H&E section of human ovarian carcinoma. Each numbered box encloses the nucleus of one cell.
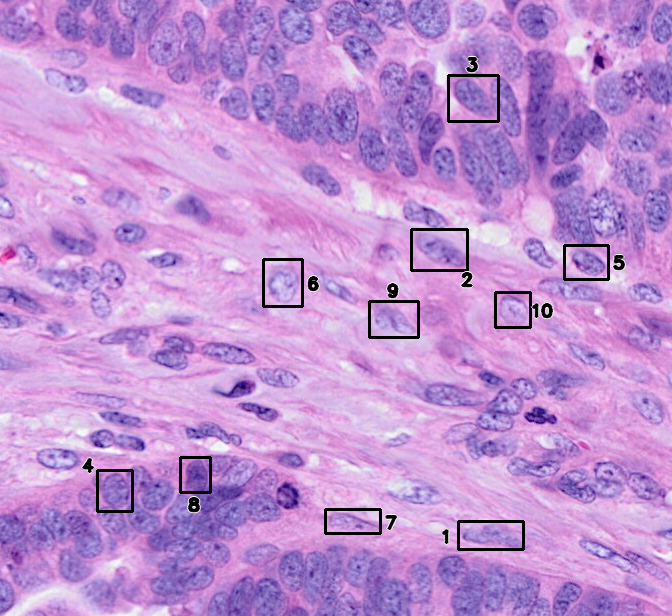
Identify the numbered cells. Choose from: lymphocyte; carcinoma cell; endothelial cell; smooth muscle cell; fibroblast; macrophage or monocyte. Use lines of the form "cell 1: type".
cell 1: fibroblast
cell 2: fibroblast
cell 3: carcinoma cell
cell 4: carcinoma cell
cell 5: macrophage or monocyte
cell 6: fibroblast
cell 7: fibroblast
cell 8: carcinoma cell
cell 9: fibroblast
cell 10: fibroblast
